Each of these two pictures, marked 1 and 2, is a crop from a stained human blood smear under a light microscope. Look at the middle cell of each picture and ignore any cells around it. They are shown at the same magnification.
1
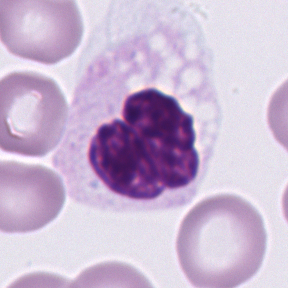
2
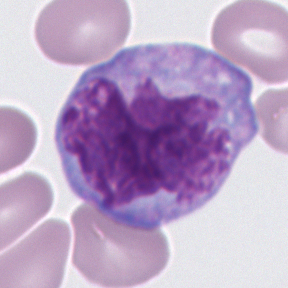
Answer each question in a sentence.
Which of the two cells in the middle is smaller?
Crop 1 holds the smaller cell, since the cell in crop 2 covers about 1.5 times as much area.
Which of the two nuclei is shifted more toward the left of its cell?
Seen within its cell, the nucleus in crop 2 lies further toward the left.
